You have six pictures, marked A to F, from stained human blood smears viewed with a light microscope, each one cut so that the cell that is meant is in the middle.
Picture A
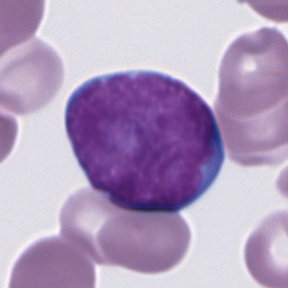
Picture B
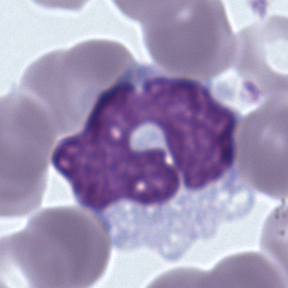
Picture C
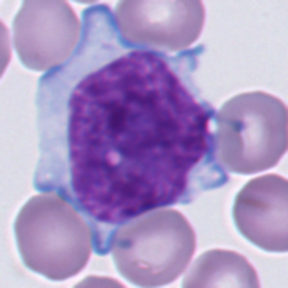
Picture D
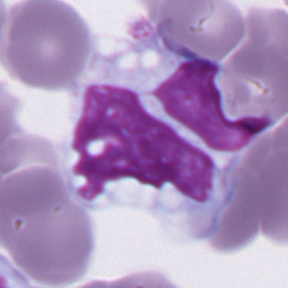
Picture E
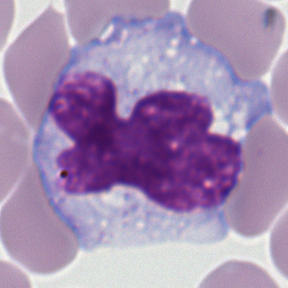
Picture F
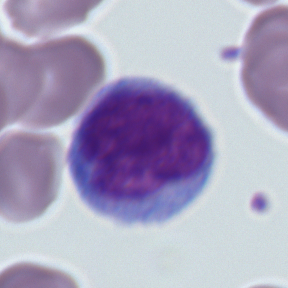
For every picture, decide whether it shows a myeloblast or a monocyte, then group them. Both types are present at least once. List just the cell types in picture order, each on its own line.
myeloblast
monocyte
myeloblast
monocyte
monocyte
monocyte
